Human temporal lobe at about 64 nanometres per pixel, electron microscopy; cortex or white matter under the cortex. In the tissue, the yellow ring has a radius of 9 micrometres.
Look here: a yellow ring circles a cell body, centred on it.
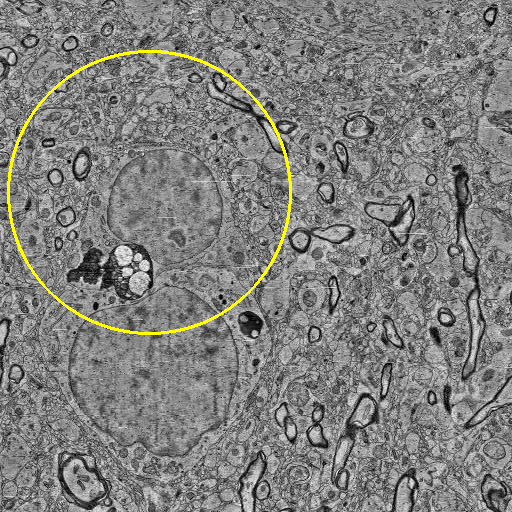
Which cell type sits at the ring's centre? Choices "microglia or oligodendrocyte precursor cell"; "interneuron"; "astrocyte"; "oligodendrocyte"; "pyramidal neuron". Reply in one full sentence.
The cell at the centre of the yellow ring in the picture is an oligodendrocyte.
